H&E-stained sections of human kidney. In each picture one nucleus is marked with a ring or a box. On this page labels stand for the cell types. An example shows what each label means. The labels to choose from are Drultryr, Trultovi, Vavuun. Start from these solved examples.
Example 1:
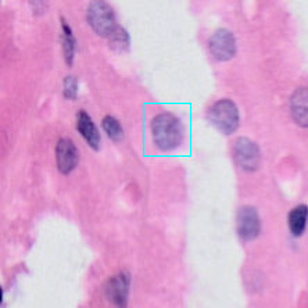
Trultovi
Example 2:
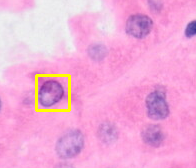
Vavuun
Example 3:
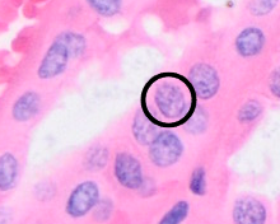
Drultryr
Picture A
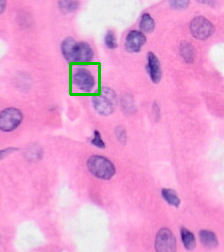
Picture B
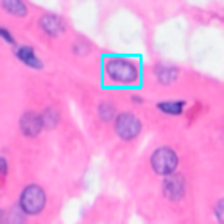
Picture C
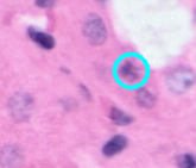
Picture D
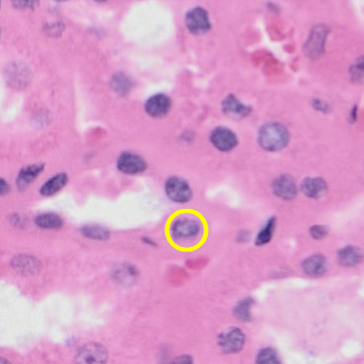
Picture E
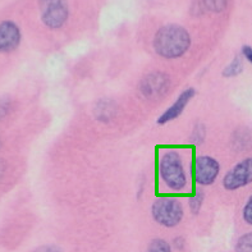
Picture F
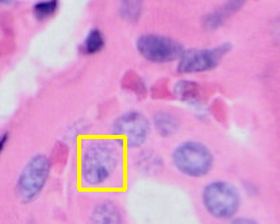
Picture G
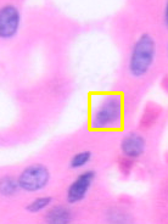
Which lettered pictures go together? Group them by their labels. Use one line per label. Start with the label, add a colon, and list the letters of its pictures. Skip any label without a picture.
Drultryr: A, D, E, F, G
Trultovi: B, C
